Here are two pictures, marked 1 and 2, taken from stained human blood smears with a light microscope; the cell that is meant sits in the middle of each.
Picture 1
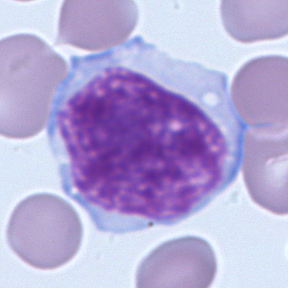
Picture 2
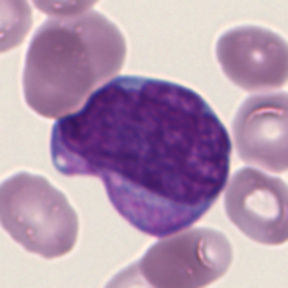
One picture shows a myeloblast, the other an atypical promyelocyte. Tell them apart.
1: myeloblast
2: atypical promyelocyte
